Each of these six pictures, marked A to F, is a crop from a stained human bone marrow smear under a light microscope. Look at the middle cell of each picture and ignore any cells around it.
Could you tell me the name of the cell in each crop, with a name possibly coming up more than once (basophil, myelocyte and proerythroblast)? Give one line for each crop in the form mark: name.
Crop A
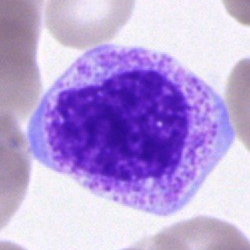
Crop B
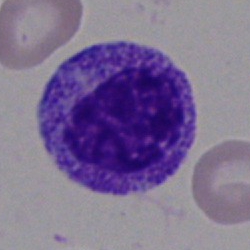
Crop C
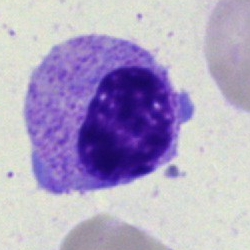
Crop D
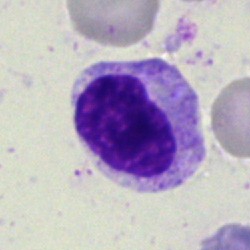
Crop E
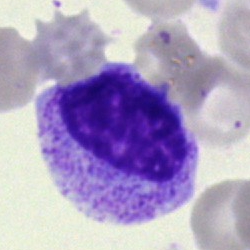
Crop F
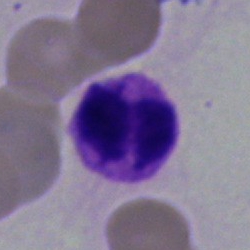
A: myelocyte
B: myelocyte
C: myelocyte
D: myelocyte
E: myelocyte
F: basophil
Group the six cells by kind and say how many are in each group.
myelocyte: 5
basophil: 1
